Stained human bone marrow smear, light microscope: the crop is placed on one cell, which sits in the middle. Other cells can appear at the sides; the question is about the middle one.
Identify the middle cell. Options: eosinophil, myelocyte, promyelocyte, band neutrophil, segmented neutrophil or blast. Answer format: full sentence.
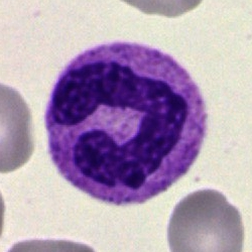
The crop shows a segmented neutrophil in its centre.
